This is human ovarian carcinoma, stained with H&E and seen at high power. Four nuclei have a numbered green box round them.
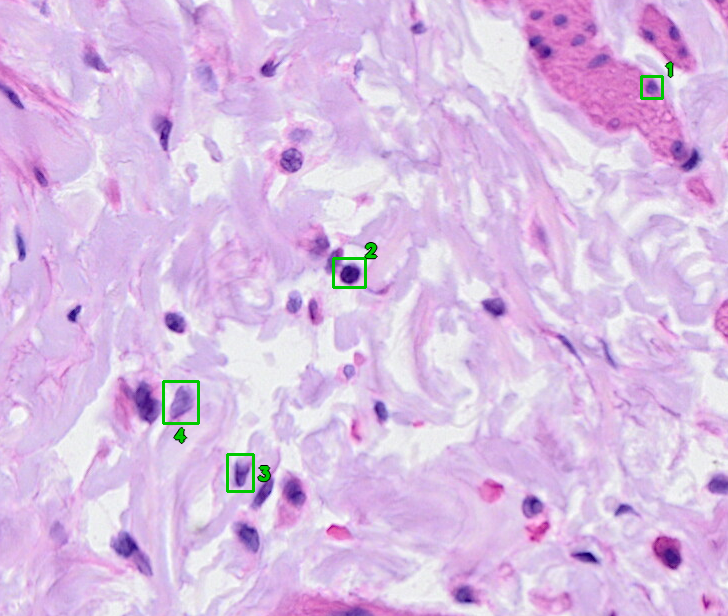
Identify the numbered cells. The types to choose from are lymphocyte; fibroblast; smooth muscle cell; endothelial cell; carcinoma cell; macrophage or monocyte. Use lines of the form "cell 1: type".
cell 1: smooth muscle cell
cell 2: lymphocyte
cell 3: fibroblast
cell 4: fibroblast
